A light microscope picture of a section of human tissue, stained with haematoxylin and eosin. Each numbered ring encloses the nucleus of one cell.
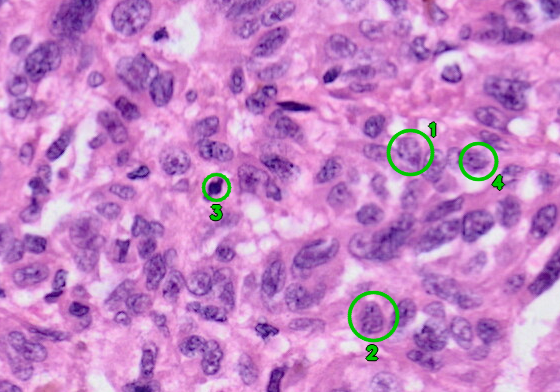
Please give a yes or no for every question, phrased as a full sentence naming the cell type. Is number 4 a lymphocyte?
No, cell 4 should be read as a melanoma cell instead of a lymphocyte.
